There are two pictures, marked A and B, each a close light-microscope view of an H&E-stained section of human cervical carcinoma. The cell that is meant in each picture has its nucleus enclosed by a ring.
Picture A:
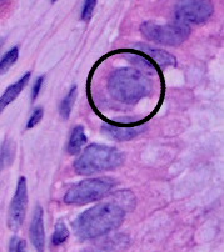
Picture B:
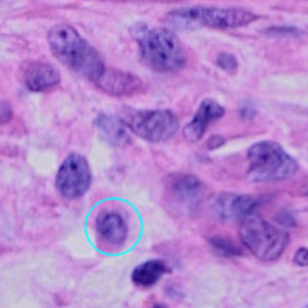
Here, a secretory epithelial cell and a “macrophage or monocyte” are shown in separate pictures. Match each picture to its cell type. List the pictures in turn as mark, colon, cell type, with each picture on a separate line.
A: secretory epithelial cell
B: macrophage or monocyte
